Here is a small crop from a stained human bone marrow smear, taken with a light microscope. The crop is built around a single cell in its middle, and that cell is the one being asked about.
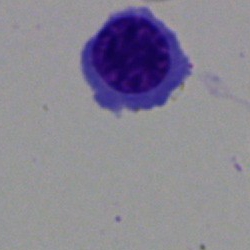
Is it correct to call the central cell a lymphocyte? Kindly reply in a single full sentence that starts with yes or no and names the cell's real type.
No, what lies at the heart of the crop is an erythroblast, not a lymphocyte.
